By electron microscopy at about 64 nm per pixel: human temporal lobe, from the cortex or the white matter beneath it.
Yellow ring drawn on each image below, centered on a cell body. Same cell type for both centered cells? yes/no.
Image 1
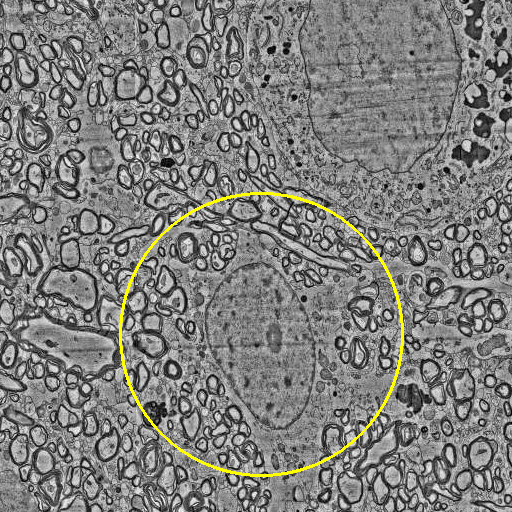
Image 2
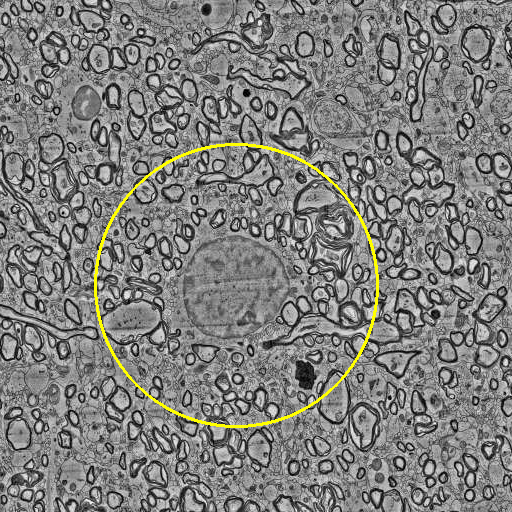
no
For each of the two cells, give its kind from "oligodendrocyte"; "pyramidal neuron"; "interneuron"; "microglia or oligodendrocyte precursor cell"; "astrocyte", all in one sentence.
The first picture has an astrocyte in its ring, the second has an oligodendrocyte.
